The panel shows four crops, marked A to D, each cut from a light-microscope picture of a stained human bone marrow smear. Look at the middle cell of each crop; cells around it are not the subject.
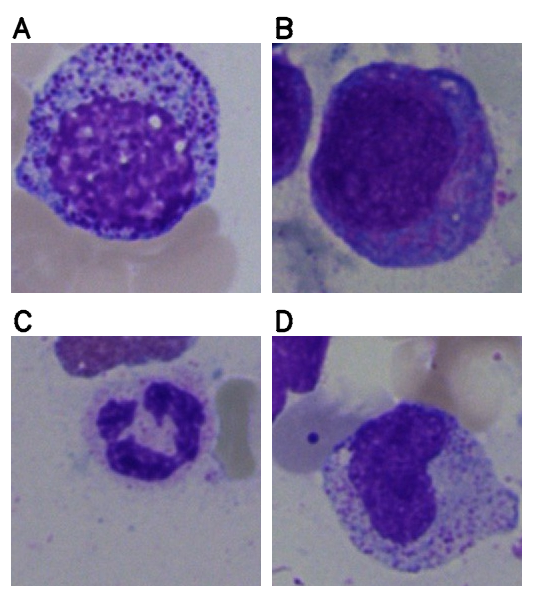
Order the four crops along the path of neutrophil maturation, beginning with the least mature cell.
B, A, D, C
